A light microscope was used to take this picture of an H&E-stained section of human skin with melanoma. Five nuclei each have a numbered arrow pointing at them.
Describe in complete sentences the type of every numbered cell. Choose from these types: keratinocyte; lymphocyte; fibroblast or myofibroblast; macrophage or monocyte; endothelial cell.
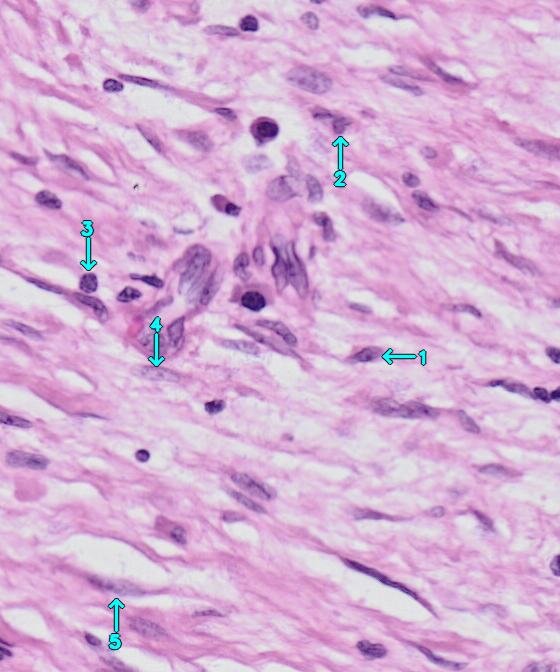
Cell 1 is a macrophage or monocyte, cell 2 is a macrophage or monocyte, cell 3 is a lymphocyte, cell 4 is a fibroblast or myofibroblast and cell 5 is a fibroblast or myofibroblast.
